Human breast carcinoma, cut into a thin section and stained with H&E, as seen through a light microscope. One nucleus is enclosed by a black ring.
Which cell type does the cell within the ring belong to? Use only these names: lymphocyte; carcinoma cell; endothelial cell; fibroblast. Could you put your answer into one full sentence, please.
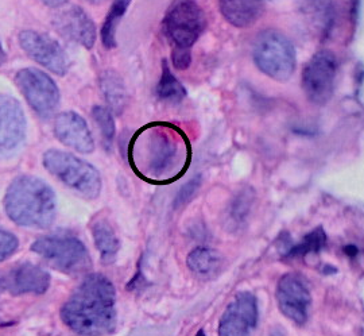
Assigned to a cell type, the cell within the ring is an endothelial cell.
